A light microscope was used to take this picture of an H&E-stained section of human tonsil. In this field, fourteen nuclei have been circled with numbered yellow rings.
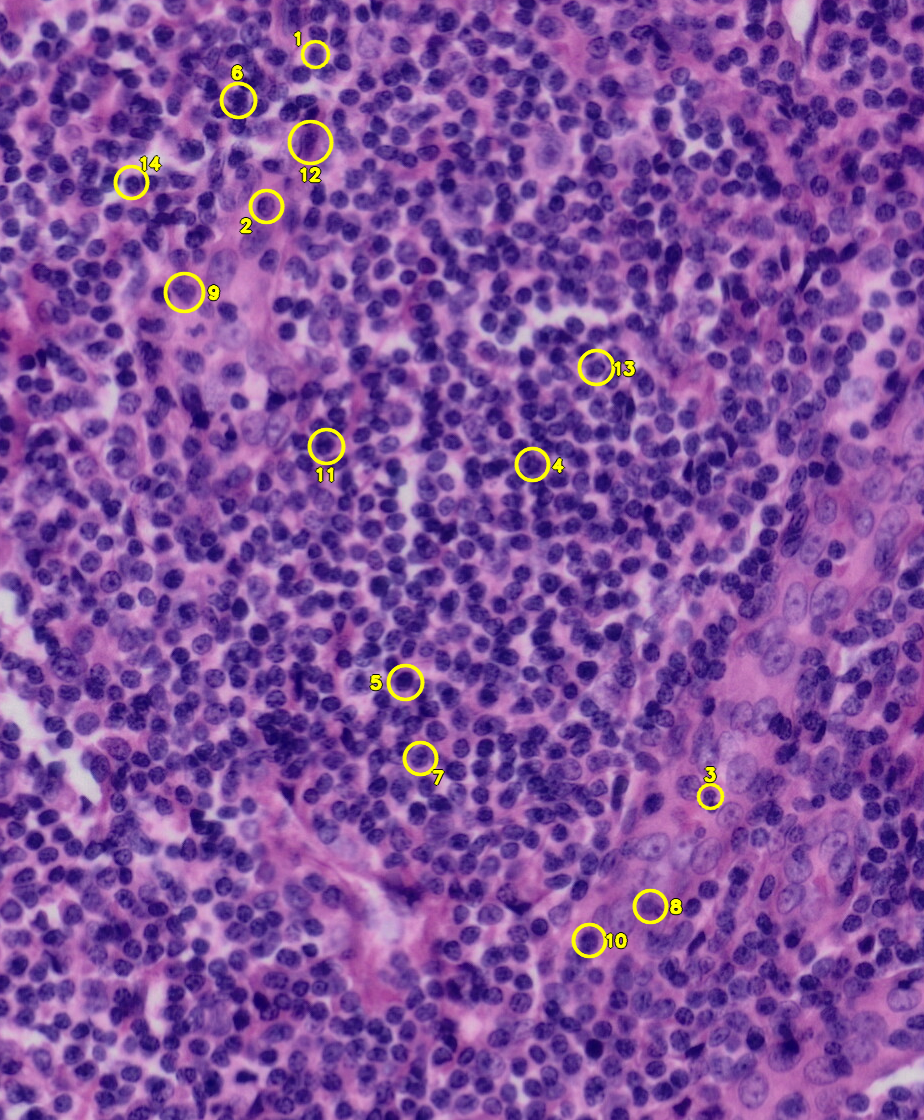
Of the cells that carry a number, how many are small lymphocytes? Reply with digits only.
8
